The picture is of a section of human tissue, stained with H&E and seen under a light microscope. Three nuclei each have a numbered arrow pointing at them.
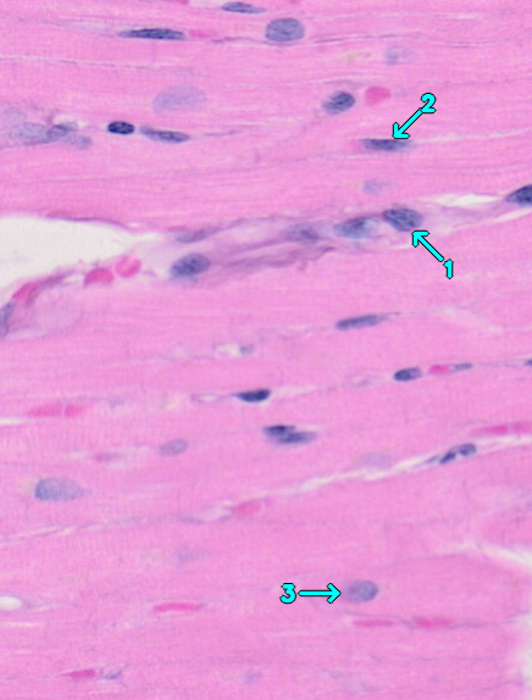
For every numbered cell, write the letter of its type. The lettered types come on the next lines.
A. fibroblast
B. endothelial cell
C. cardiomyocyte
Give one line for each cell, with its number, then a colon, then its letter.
1: B
2: B
3: C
